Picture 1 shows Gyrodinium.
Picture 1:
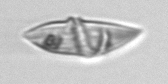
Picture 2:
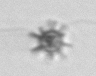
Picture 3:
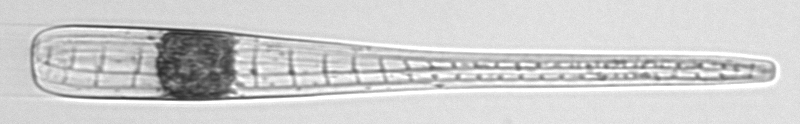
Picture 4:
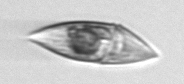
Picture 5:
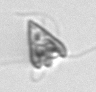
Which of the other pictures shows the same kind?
Picture 4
